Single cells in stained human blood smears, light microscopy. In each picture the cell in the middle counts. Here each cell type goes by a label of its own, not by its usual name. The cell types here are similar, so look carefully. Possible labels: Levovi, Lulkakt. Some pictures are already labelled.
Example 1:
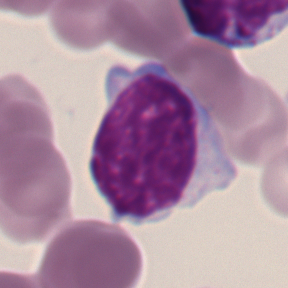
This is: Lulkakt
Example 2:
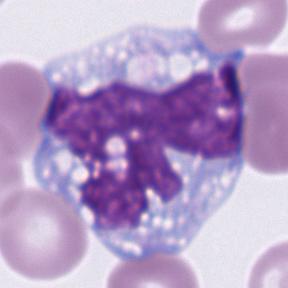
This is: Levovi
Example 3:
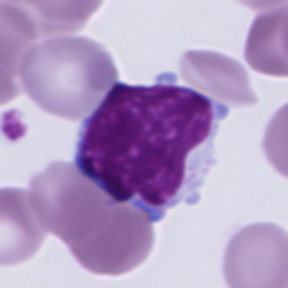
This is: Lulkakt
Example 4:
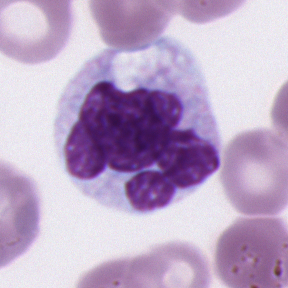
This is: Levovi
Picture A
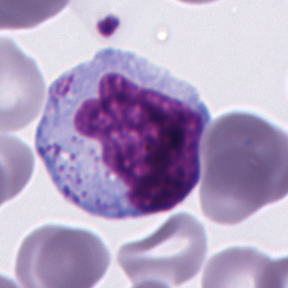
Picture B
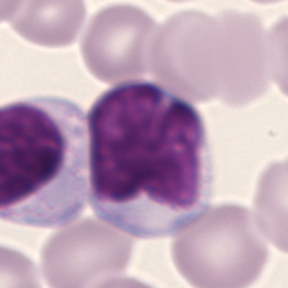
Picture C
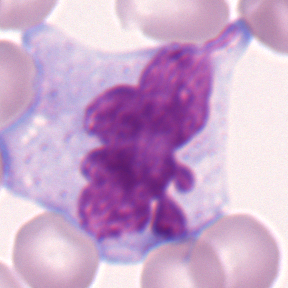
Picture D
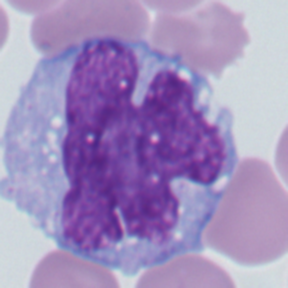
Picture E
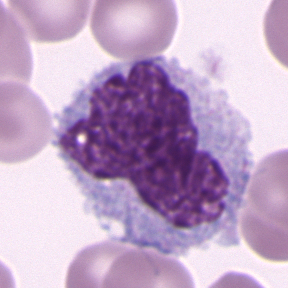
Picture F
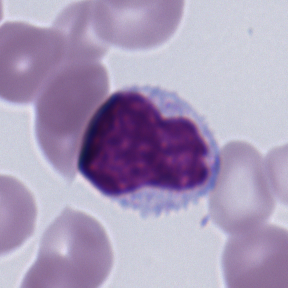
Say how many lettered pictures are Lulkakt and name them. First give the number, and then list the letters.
3: A, B, F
